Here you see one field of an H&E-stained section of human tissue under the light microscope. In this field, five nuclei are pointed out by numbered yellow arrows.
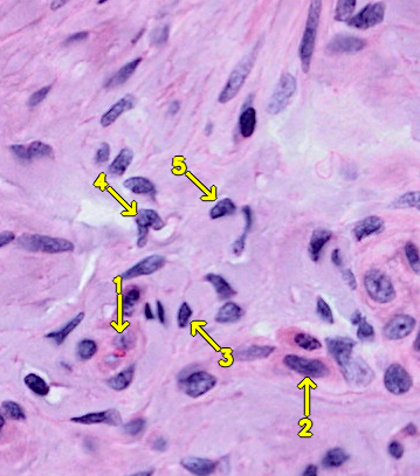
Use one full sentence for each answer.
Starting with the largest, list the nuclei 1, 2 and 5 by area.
Going from the biggest nucleus down to the smallest gives 2, 5, 1.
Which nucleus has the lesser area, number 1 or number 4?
Number 1 is smaller, since number 4 takes up about 3 times as much area.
